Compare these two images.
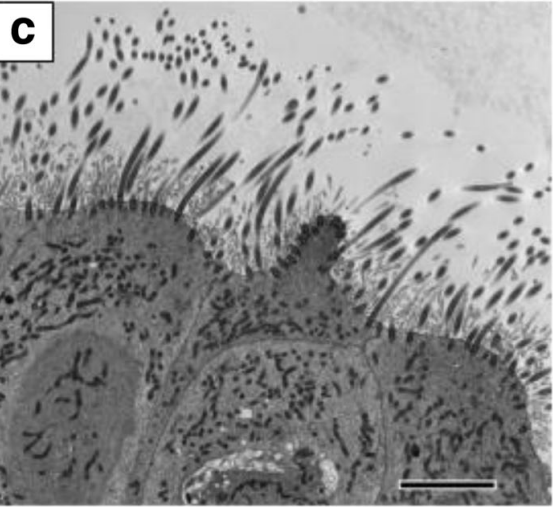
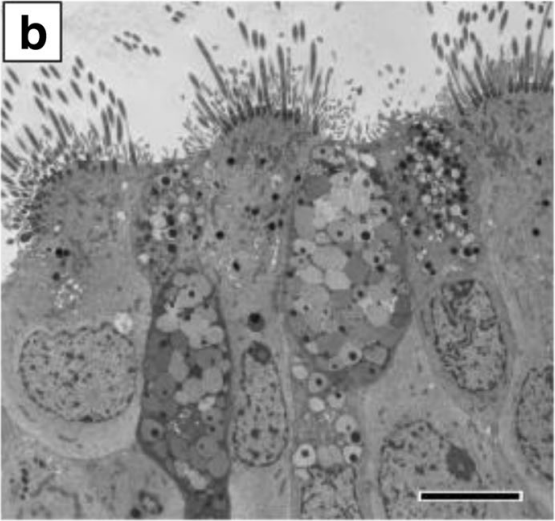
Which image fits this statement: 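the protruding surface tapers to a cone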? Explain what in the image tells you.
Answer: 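Second image: whole cell apices bulge upward with broad, rounded ciliated surfaces. First image: a small pointed ciliated knob rises from the apical surface.
Conclusion: the first image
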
